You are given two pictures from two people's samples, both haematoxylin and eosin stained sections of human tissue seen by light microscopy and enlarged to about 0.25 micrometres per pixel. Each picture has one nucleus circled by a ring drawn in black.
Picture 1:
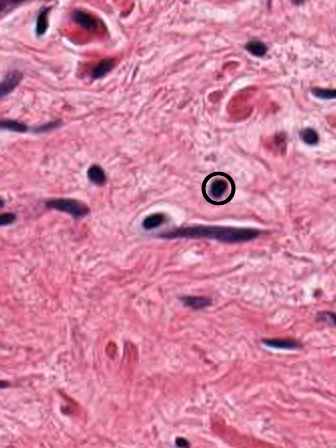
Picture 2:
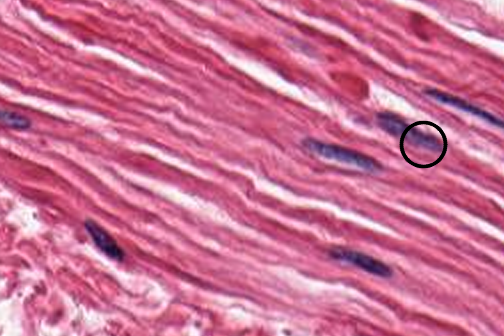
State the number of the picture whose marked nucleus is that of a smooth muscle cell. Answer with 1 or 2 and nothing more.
2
